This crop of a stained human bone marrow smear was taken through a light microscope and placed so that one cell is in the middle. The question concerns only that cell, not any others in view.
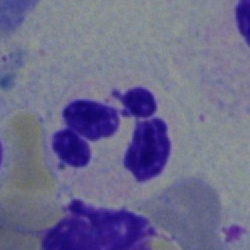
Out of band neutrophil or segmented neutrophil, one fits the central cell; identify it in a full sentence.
Located at the centre of the crop is a segmented neutrophil.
